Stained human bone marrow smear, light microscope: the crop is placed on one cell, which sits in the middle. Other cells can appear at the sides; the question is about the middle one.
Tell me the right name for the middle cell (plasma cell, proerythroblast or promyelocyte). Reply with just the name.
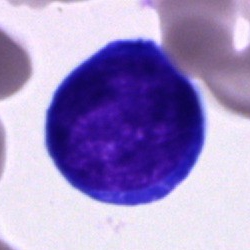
proerythroblast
